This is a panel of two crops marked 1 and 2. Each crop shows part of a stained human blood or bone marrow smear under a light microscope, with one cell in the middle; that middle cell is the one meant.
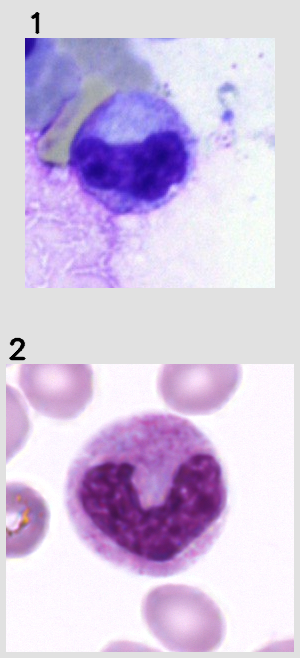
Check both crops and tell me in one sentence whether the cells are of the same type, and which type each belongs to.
No, crop 1 presents a metamyelocyte; crop 2 presents a band neutrophil.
